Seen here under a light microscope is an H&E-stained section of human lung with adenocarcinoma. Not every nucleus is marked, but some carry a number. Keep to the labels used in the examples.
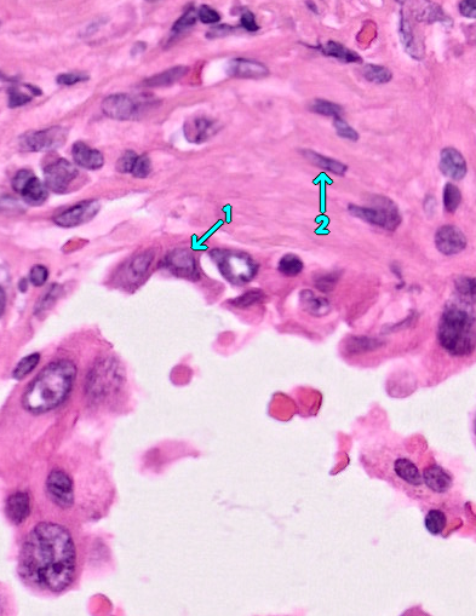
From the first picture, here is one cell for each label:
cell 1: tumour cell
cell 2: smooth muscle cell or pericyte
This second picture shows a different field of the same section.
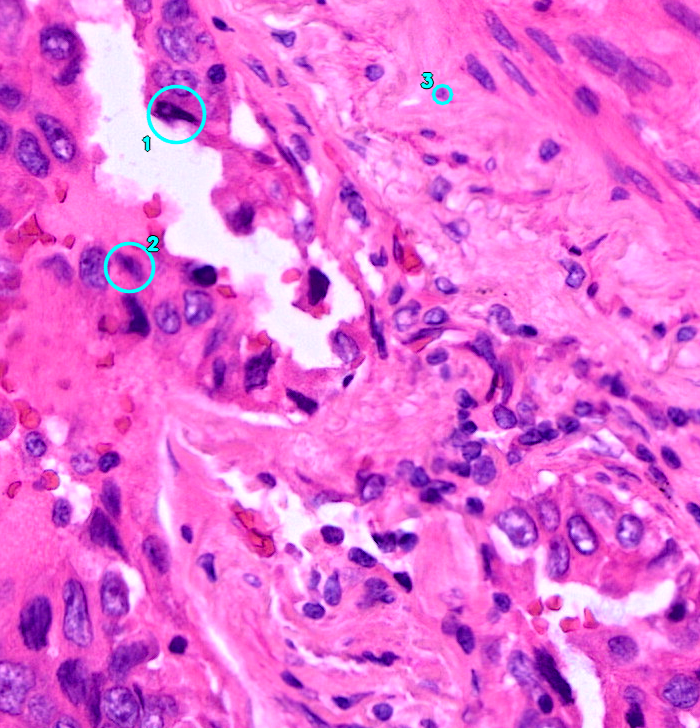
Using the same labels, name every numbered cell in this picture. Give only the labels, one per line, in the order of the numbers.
tumour cell
tumour cell
smooth muscle cell or pericyte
